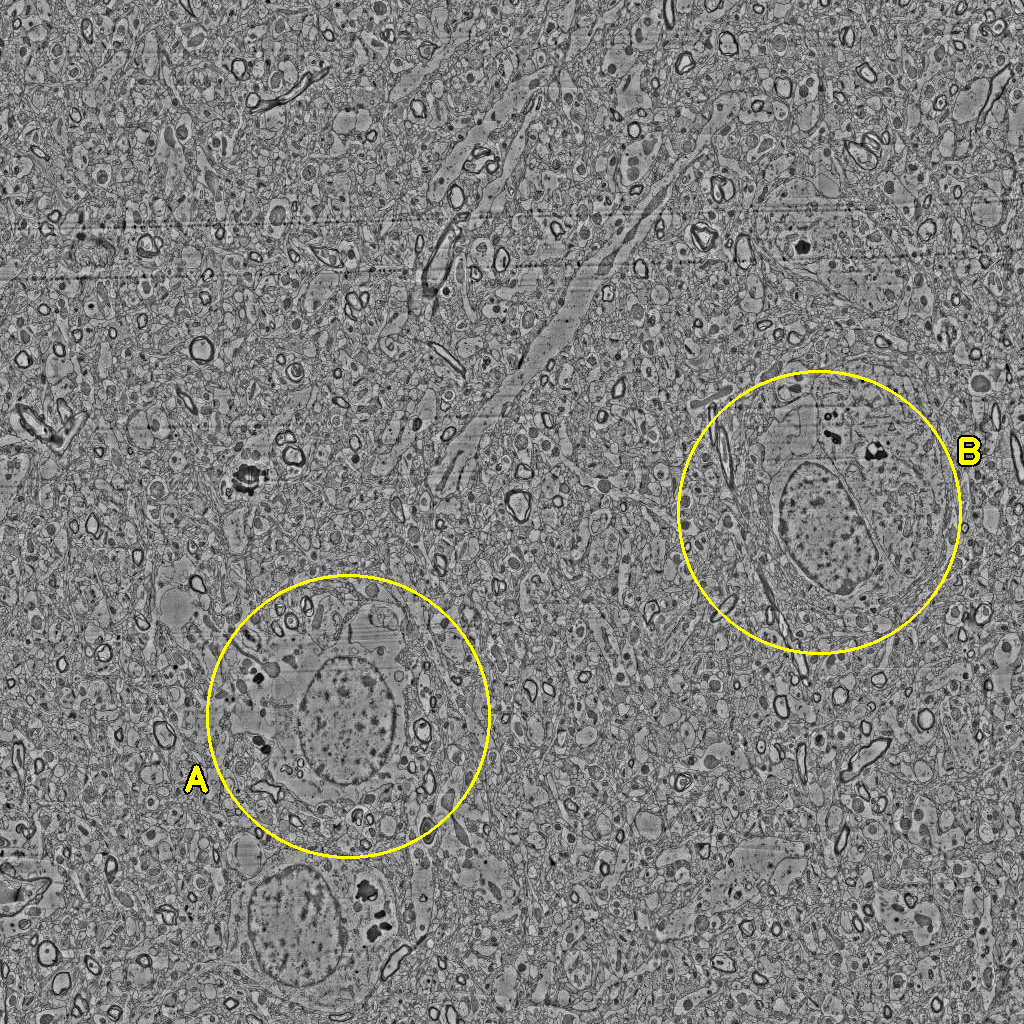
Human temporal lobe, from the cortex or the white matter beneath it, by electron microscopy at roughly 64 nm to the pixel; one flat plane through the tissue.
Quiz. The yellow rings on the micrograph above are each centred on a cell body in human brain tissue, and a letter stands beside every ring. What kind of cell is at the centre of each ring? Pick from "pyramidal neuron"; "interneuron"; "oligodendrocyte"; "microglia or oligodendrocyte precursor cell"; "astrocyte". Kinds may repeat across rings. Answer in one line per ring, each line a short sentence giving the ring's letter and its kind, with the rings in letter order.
The ring labelled A has an astrocyte at its centre.
The ring labelled B has a microglial cell or oligodendrocyte precursor cell at its centre.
